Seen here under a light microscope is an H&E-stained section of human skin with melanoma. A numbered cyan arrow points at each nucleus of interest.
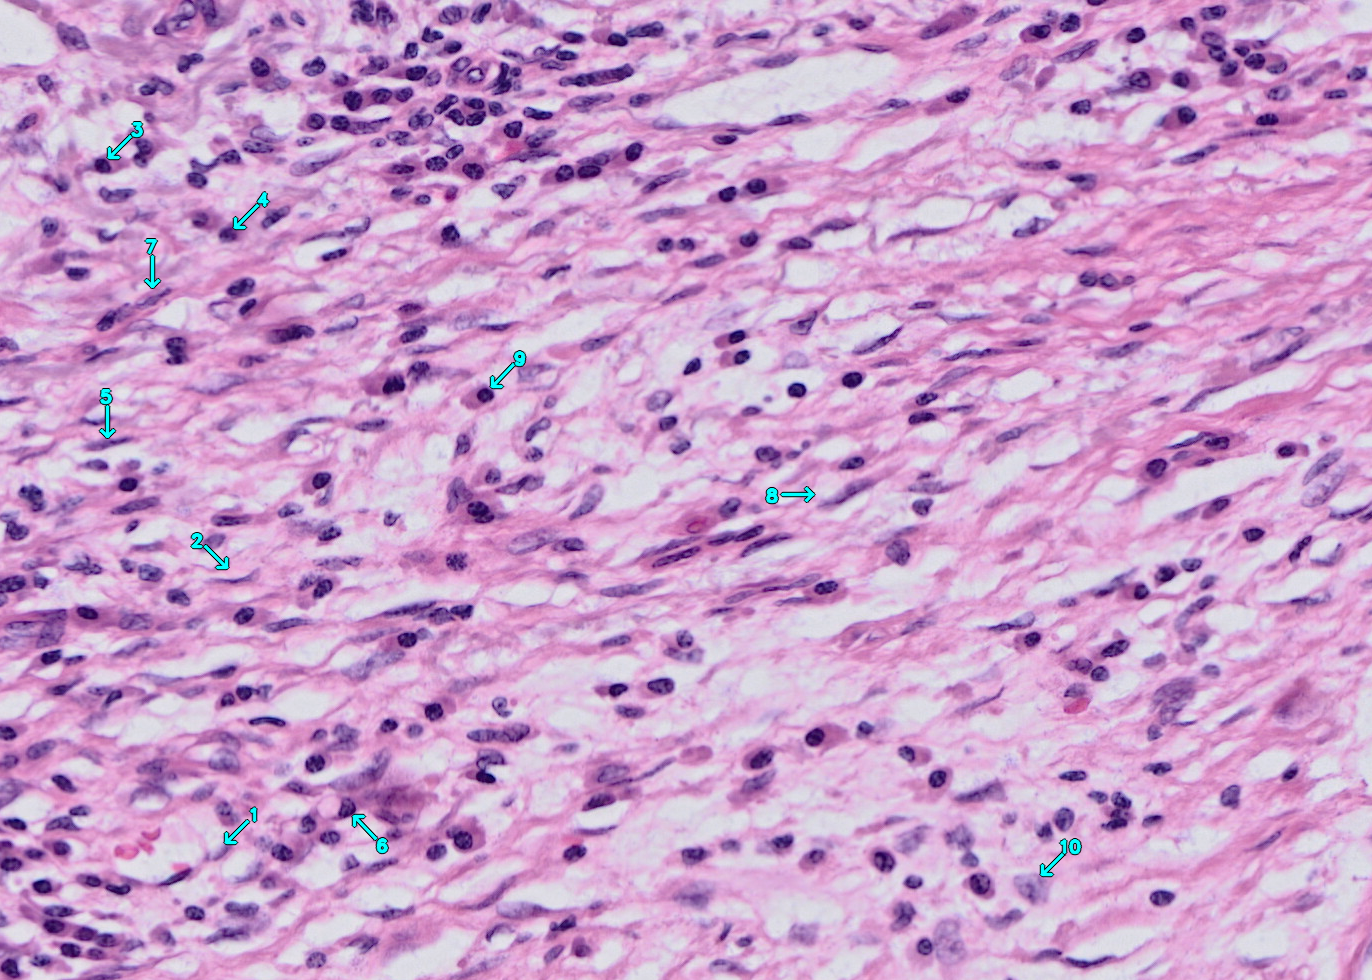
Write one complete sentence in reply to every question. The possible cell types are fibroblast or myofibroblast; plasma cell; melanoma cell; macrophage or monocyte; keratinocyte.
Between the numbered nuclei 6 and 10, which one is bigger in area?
The larger nucleus is 10, at roughly 2.5 times the area of 6.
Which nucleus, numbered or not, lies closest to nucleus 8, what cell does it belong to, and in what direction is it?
The closest nucleus belongs to a plasma cell and sits above nucleus 8.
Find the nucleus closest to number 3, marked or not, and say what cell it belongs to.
It is a macrophage or monocyte whose nucleus is nearest to number 3.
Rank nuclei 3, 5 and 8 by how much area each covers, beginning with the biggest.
Largest first, the order by area is 8, 5, 3.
